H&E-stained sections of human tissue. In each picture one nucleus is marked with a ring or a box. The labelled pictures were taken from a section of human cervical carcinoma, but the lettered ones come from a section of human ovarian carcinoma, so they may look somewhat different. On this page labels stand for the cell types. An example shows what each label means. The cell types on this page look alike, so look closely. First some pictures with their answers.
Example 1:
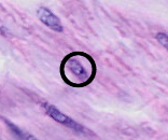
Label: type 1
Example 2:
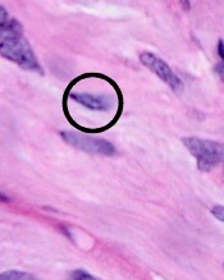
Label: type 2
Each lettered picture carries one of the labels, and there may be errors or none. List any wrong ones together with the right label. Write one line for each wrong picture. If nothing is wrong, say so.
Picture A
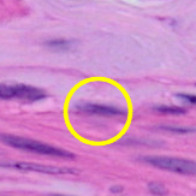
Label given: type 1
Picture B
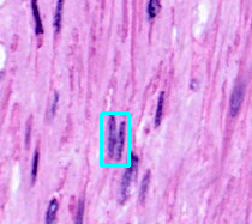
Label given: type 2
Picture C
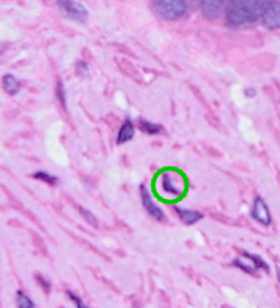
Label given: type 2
None of the labels needs changing.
